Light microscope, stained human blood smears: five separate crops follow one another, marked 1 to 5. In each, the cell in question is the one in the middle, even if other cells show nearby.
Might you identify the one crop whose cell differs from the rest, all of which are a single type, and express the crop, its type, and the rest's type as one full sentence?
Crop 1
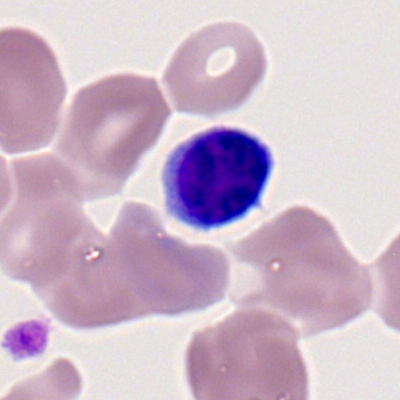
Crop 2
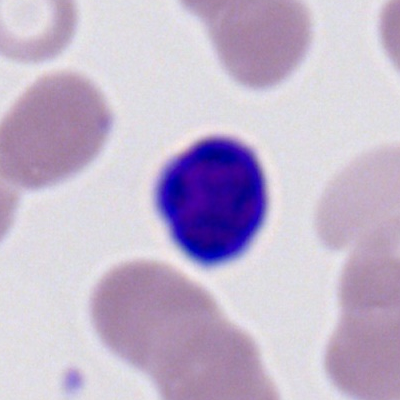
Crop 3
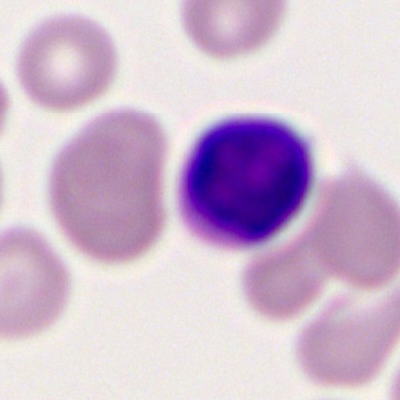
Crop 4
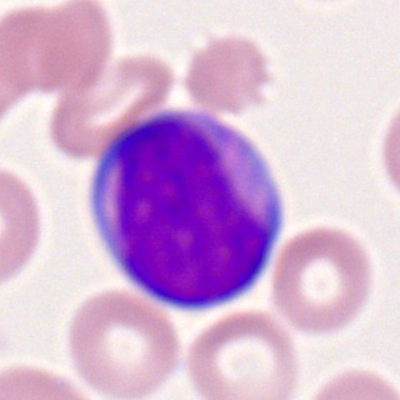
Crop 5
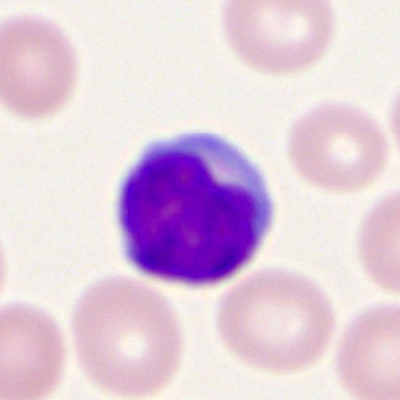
Shown in crop 4 is a myeloblast, in contrast to the lymphocytes of all the other crops.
